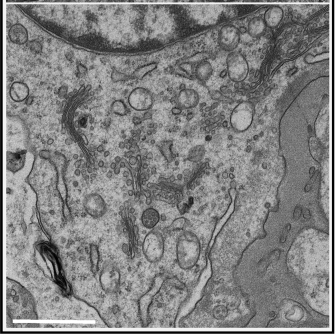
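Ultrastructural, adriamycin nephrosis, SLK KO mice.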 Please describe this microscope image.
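Cytoplasm of a podocyte beneath the lower edge of its nucleus, seen at high magnification. The cytoplasm is crowded with rounded, pale, membrane-bound profiles, and several mitochondria look enlarged with few remaining cristae. Stacked Golgi membranes lie near the centre, and a dense lamellar body sits at the lower left near the cell border.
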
